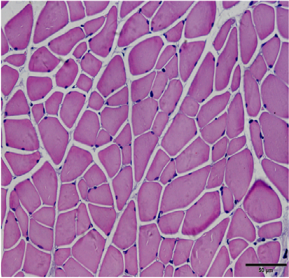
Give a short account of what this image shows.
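Skeletal muscle fibers are seen in cross section as large, closely packed polygonal profiles with pink cytoplasm. Their small dark nuclei lie at the periphery of the fibers, and the fibers are gathered into bundles separated by thin pale spaces.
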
